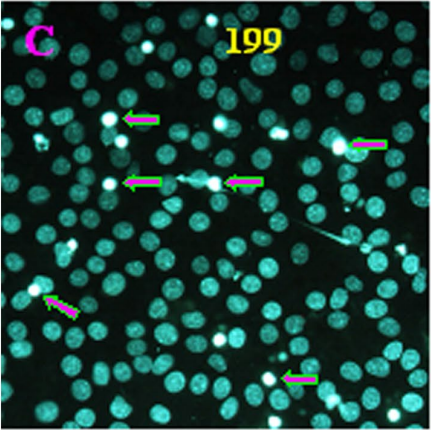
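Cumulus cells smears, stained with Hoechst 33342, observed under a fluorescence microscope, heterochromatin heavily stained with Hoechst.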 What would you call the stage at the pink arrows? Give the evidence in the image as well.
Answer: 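Apoptotic cells. The arrowed cells have small, round, intensely bright nuclei. Surrounding nuclei are larger, oval and evenly dim.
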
